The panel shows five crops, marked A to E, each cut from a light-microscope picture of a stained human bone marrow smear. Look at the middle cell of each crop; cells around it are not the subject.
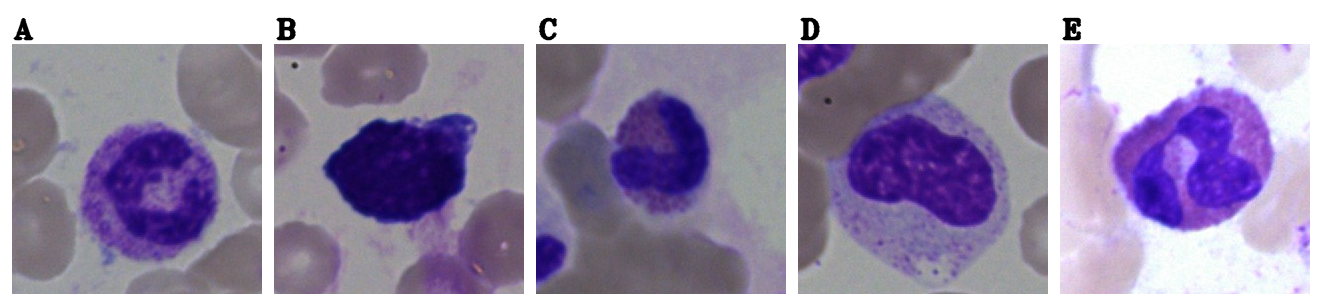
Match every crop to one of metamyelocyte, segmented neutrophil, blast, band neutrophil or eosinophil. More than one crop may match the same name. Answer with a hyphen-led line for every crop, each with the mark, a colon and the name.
- A: segmented neutrophil
- B: blast
- C: eosinophil
- D: metamyelocyte
- E: eosinophil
